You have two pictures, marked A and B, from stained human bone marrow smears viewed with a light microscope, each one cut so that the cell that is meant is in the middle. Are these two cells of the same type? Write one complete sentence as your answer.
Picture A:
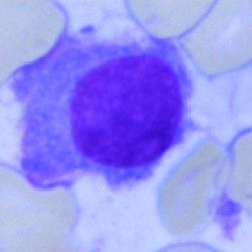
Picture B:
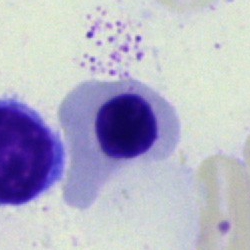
No, picture A shows a plasma cell and picture B shows an erythroblast.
